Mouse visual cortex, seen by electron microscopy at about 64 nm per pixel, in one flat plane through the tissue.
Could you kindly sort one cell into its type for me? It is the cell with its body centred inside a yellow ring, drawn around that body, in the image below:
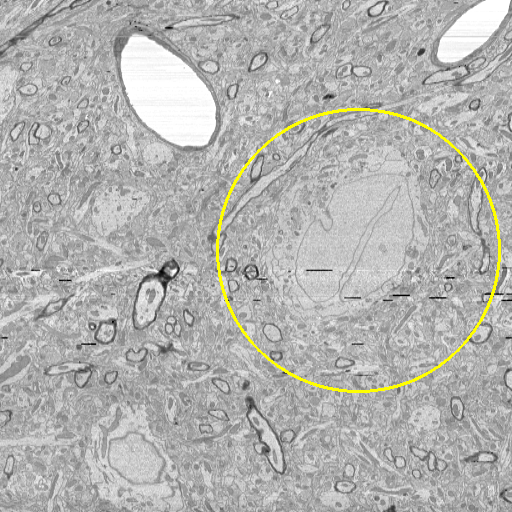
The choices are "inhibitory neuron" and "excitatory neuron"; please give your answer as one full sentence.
The cell whose body lies centred in the yellow ring here is an excitatory neuron.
